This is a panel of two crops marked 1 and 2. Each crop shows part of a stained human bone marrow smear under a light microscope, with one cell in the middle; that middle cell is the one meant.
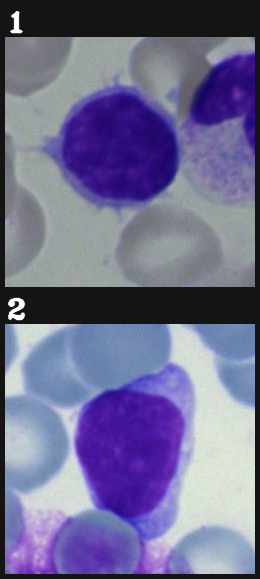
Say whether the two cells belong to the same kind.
yes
